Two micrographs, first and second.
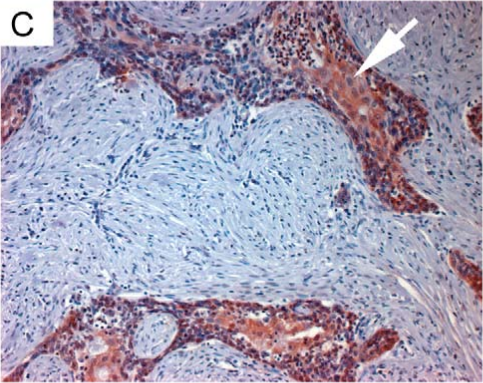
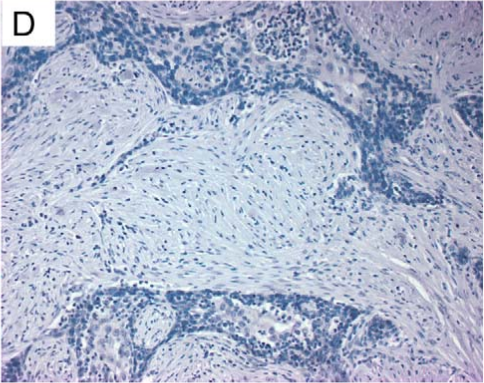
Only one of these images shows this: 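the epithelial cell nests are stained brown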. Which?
the first image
